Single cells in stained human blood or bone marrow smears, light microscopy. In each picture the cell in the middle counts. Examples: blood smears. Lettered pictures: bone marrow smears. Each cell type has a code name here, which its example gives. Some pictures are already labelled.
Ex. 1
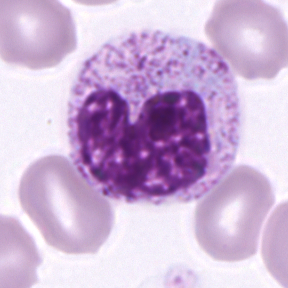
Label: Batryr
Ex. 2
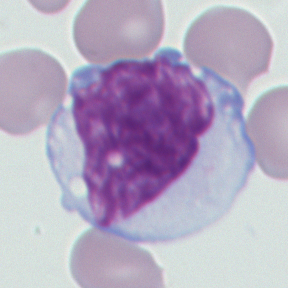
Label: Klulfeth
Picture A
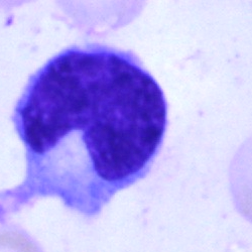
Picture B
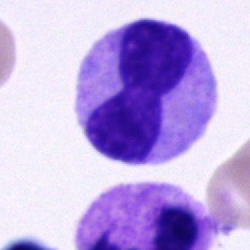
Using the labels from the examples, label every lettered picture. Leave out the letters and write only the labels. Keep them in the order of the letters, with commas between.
Batryr, Batryr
